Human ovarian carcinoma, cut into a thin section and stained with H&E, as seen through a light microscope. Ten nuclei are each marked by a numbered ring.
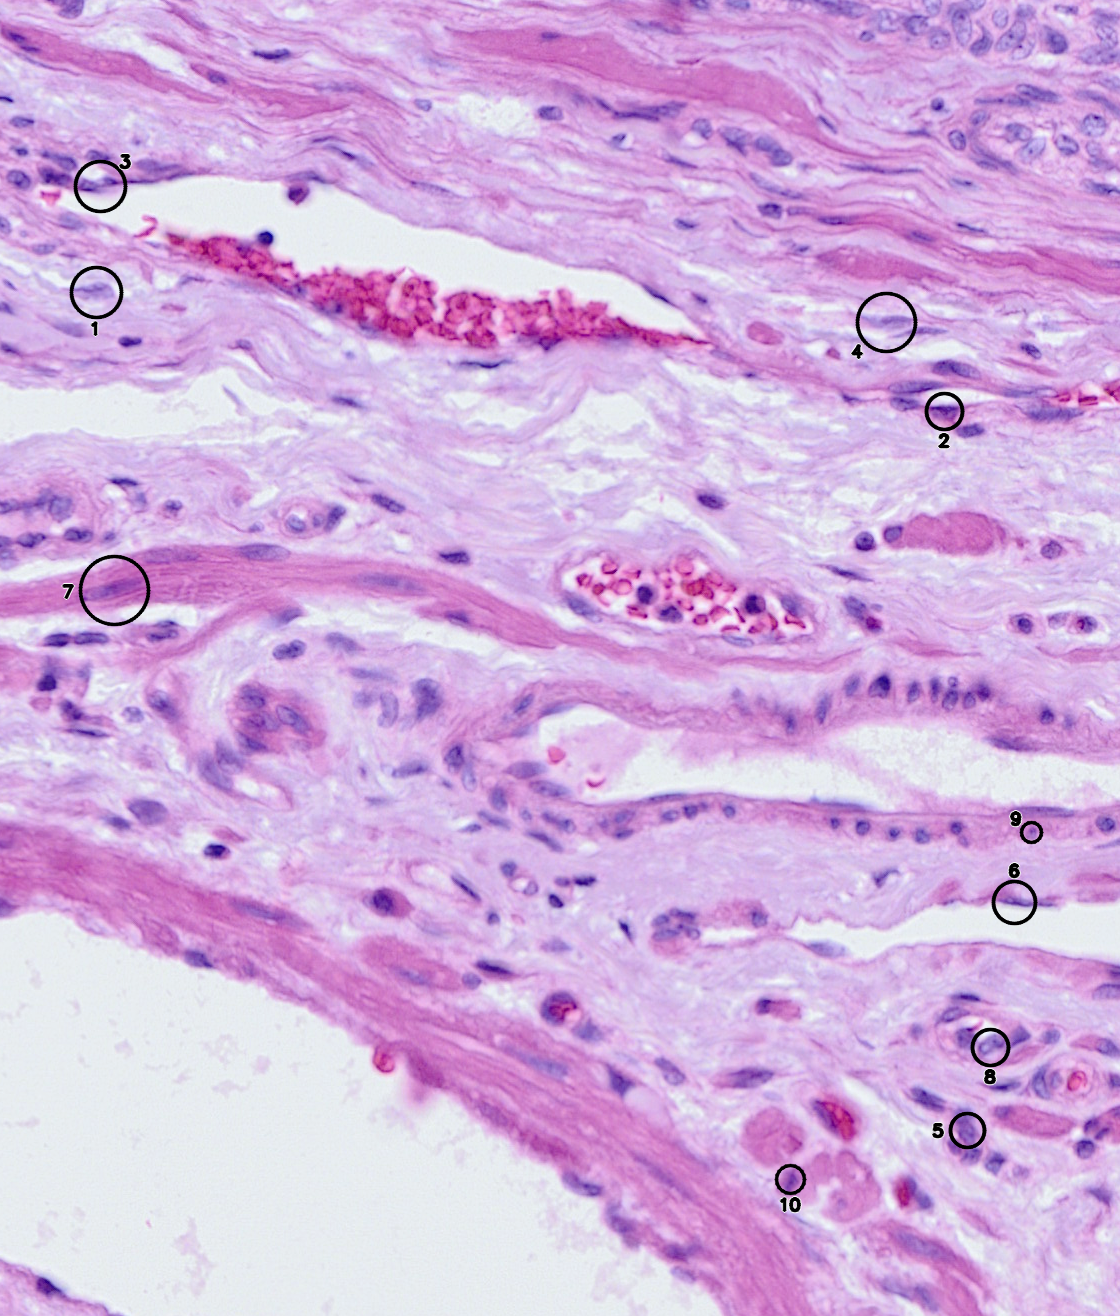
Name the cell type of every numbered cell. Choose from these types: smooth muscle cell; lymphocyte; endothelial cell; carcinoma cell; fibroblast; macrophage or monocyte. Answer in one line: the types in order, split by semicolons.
fibroblast; endothelial cell; endothelial cell; fibroblast; endothelial cell; endothelial cell; smooth muscle cell; endothelial cell; smooth muscle cell; smooth muscle cell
